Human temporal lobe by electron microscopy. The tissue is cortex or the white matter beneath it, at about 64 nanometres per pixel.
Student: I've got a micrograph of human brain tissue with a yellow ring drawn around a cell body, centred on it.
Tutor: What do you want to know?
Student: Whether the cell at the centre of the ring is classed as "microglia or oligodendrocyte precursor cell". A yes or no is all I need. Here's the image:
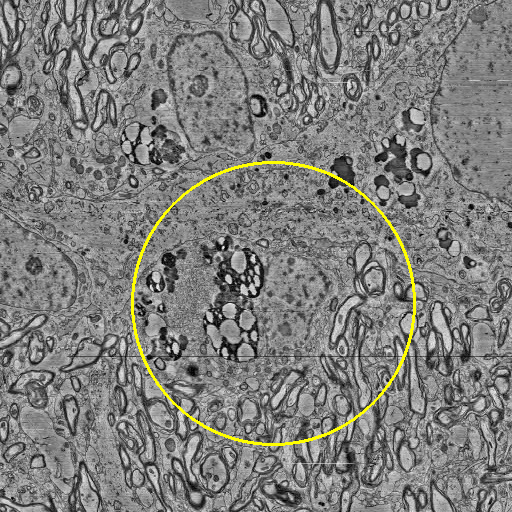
no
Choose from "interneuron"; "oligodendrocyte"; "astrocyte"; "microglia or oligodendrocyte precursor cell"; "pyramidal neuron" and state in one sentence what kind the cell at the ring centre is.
What the ring is centred on is an astrocyte.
